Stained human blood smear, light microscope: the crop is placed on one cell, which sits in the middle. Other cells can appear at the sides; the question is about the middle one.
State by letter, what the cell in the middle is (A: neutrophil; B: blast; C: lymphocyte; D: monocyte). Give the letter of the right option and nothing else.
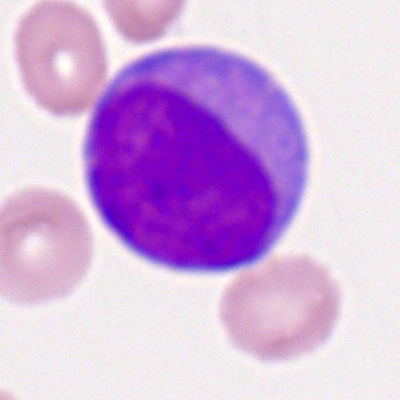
B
